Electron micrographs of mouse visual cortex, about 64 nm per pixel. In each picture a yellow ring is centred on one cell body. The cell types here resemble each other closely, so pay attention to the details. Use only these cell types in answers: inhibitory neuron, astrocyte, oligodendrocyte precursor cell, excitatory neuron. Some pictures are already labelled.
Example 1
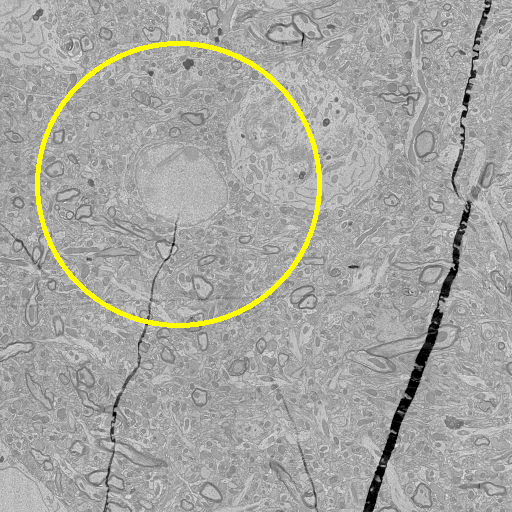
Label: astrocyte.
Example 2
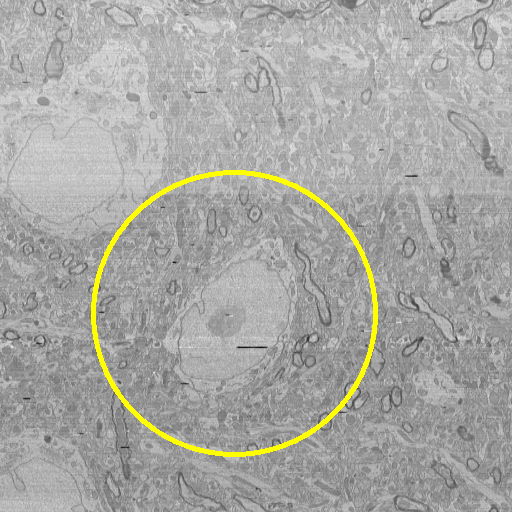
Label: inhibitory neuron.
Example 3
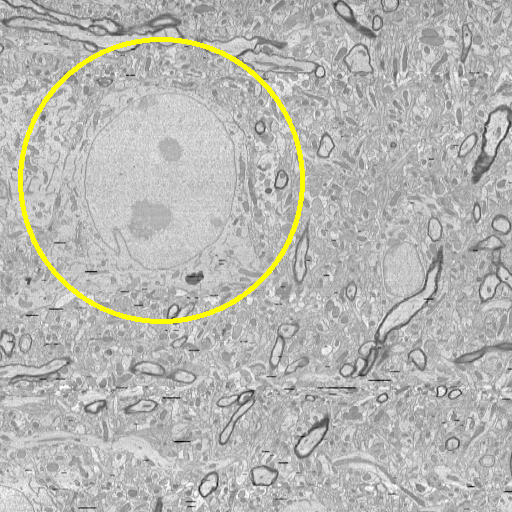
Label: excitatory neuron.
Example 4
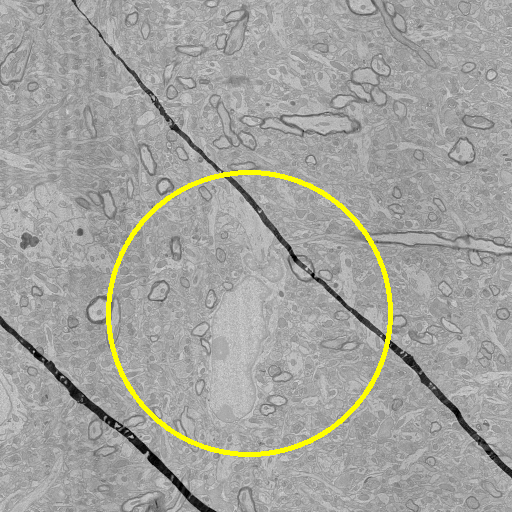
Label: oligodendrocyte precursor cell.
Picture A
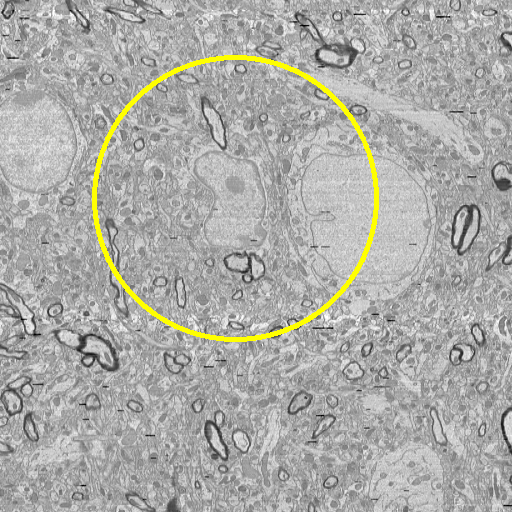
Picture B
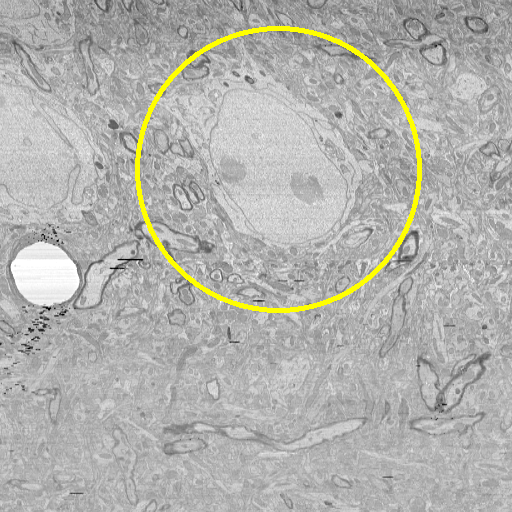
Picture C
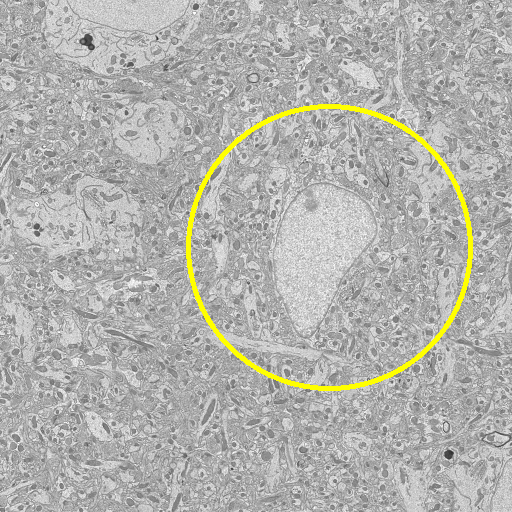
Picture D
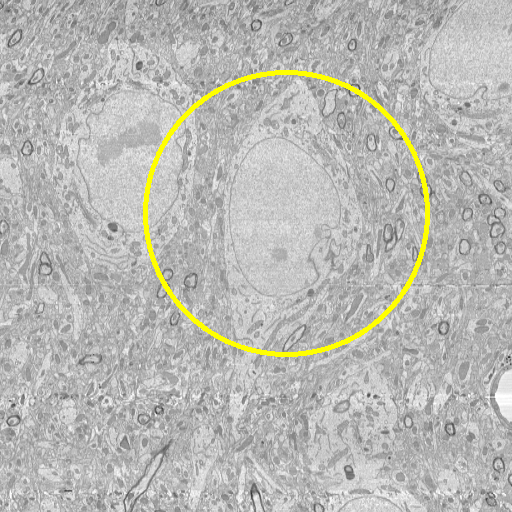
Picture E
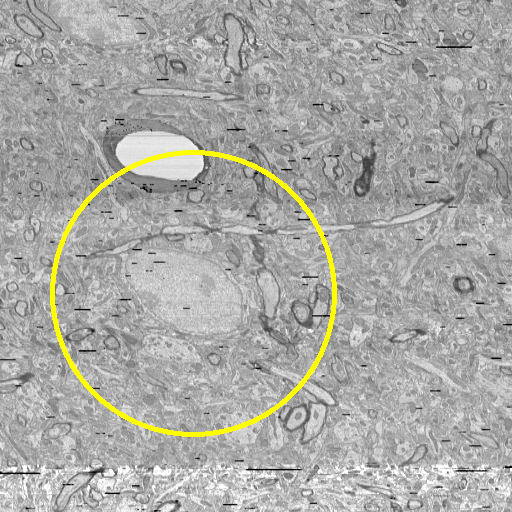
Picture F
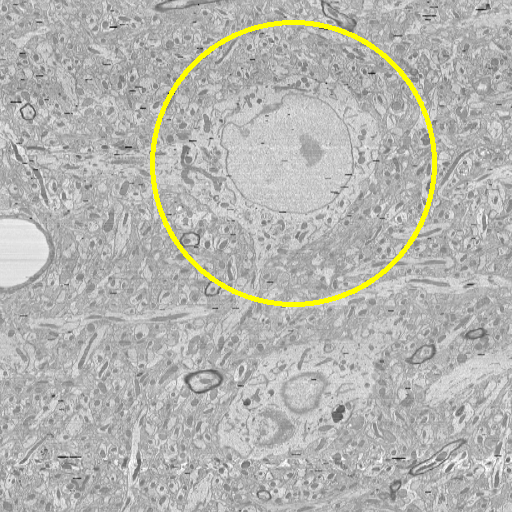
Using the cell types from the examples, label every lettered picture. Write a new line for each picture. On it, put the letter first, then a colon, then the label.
A: oligodendrocyte precursor cell.
B: excitatory neuron.
C: astrocyte.
D: excitatory neuron.
E: astrocyte.
F: excitatory neuron.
